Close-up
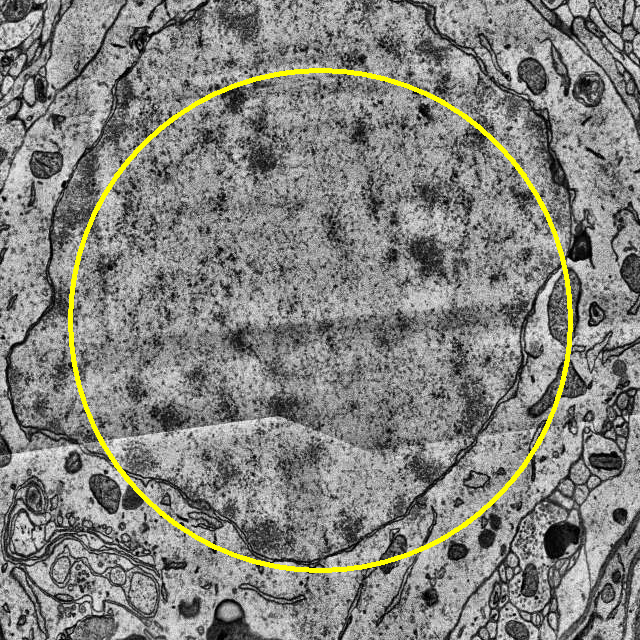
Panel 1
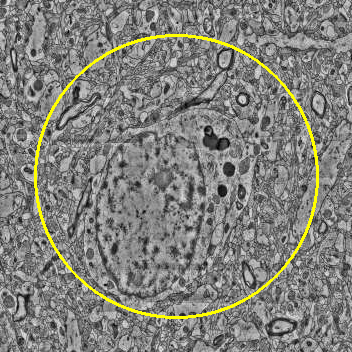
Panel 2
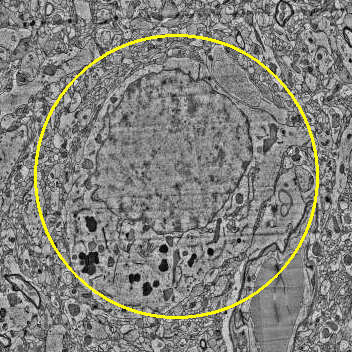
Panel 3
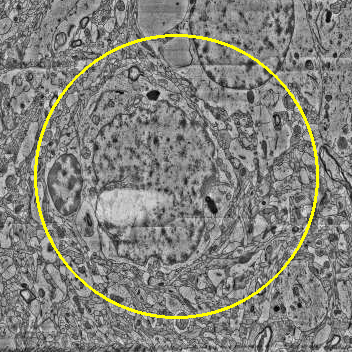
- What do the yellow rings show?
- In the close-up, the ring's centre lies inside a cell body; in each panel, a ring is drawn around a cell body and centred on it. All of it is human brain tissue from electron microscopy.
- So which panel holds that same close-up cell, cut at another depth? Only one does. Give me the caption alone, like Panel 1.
Panel 2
